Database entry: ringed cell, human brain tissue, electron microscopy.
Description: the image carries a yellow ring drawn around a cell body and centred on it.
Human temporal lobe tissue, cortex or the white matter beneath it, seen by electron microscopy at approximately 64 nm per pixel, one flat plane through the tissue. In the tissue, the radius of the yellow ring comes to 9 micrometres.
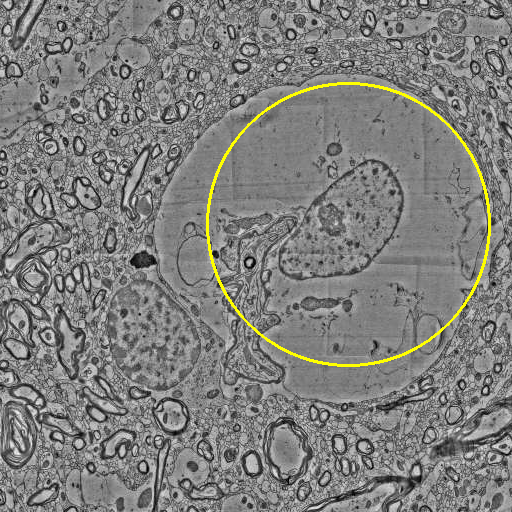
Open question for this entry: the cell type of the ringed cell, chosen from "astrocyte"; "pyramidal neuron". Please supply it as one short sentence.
The ringed cell is an astrocyte.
